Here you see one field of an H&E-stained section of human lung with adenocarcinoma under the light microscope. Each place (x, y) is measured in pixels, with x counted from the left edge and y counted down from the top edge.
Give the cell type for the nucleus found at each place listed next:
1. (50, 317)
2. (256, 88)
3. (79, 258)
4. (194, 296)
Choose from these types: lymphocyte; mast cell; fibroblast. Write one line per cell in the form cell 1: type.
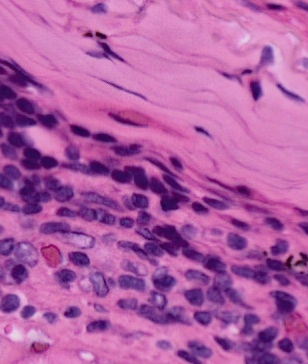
cell 1: lymphocyte
cell 2: mast cell
cell 3: lymphocyte
cell 4: lymphocyte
